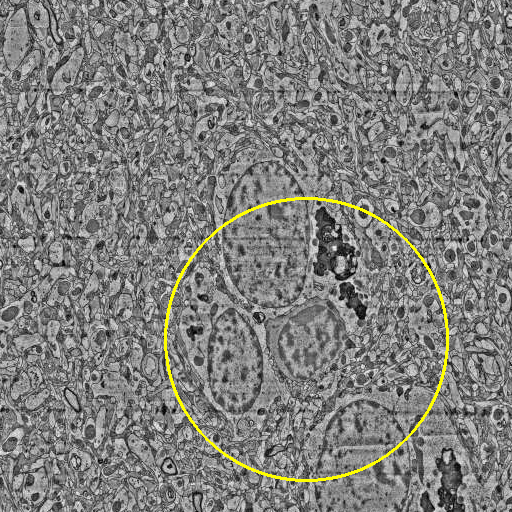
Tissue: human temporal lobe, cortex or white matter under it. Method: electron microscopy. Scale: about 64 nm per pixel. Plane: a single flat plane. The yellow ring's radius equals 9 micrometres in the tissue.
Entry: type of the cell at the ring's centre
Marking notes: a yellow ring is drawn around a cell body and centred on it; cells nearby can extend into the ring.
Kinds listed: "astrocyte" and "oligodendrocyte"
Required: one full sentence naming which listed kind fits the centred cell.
My entry names an oligodendrocyte as the cell whose body the yellow ring centres on.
